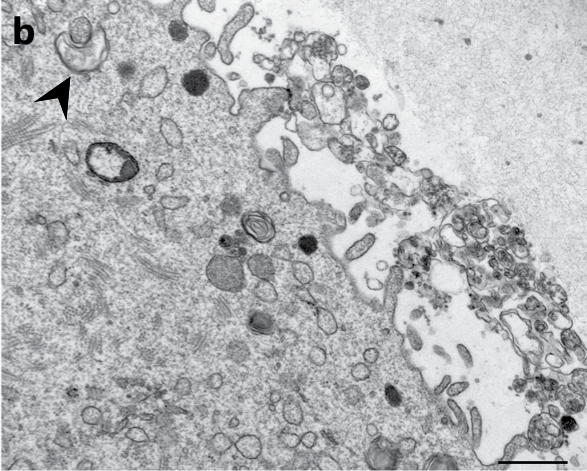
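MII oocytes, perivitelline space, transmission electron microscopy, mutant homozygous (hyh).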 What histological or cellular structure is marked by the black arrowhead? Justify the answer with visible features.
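Phagophore-like structure. A curved double membrane wraps around a small vesicle. The wrapped vesicle lies within the cytoplasm.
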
